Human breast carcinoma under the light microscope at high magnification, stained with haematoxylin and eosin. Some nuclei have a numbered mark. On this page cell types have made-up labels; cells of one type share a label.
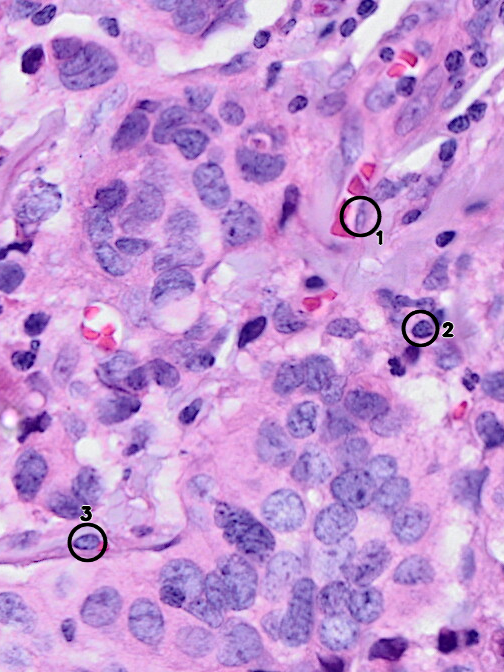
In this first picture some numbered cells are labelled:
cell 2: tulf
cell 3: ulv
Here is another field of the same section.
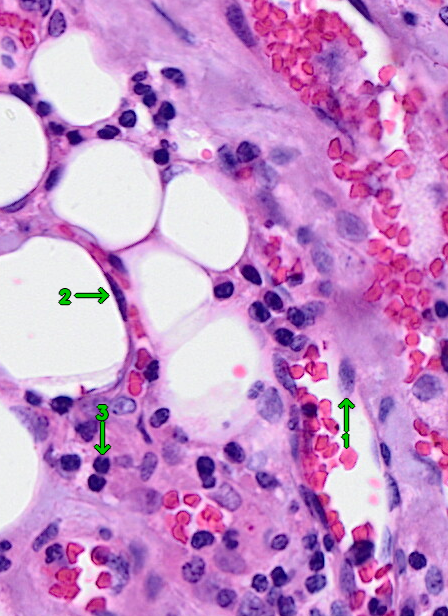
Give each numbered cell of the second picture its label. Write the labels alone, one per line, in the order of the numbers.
ulv
ulv
tulf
